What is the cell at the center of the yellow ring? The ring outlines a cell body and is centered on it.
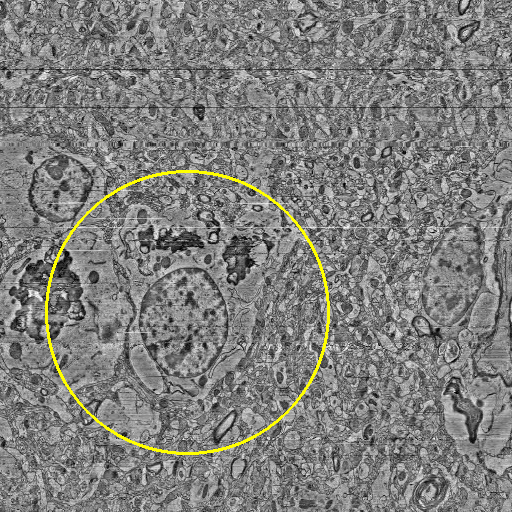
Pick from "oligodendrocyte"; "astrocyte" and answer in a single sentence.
The yellow ring is centered on an astrocyte.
